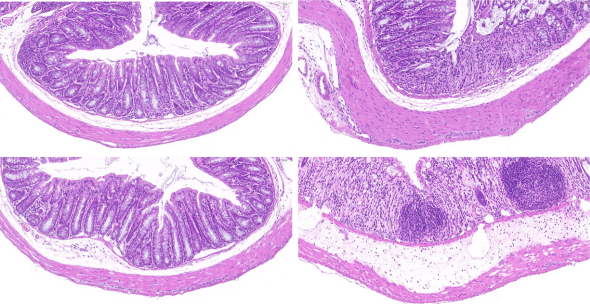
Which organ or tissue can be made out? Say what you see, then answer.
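Colon. Cross-sections of a hollow gut wall with a central lumen. Mucosa made of tubular glands (crypts) lined by columnar epithelium with many pale goblet cells. No villi project into the lumen. A pink smooth-muscle layer lies outside the mucosa.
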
